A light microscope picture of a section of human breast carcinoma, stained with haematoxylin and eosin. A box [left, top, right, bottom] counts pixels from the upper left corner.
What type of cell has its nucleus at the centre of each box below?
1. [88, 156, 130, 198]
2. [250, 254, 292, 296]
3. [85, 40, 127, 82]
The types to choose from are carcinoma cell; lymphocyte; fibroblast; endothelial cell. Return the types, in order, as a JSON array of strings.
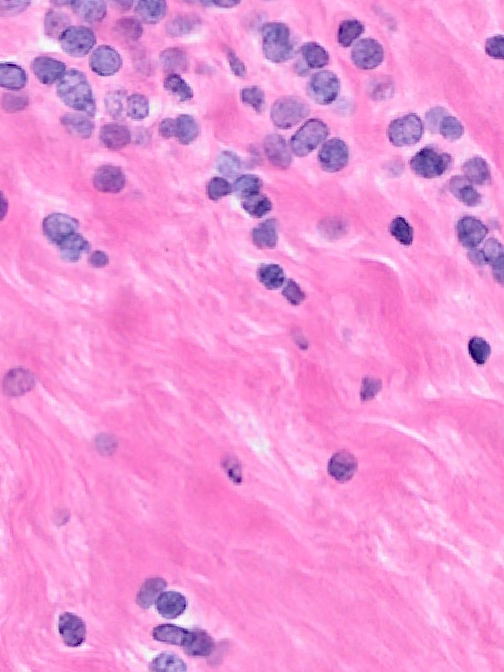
["carcinoma cell", "lymphocyte", "carcinoma cell"]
